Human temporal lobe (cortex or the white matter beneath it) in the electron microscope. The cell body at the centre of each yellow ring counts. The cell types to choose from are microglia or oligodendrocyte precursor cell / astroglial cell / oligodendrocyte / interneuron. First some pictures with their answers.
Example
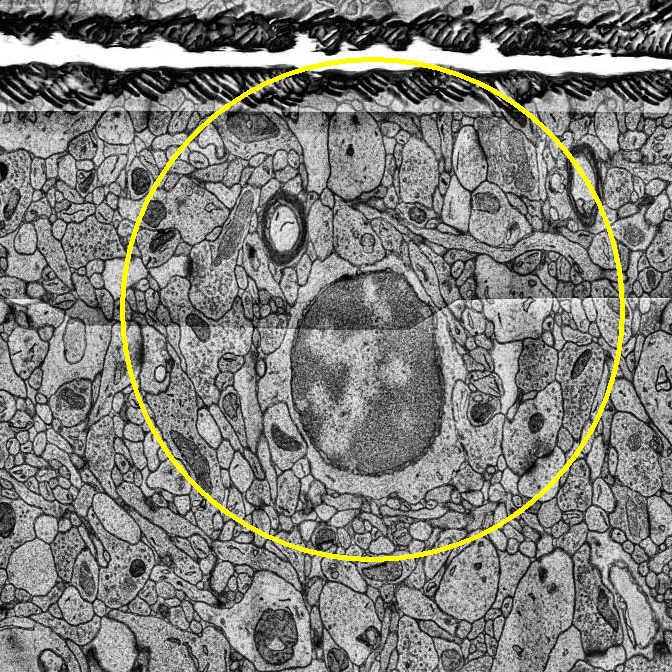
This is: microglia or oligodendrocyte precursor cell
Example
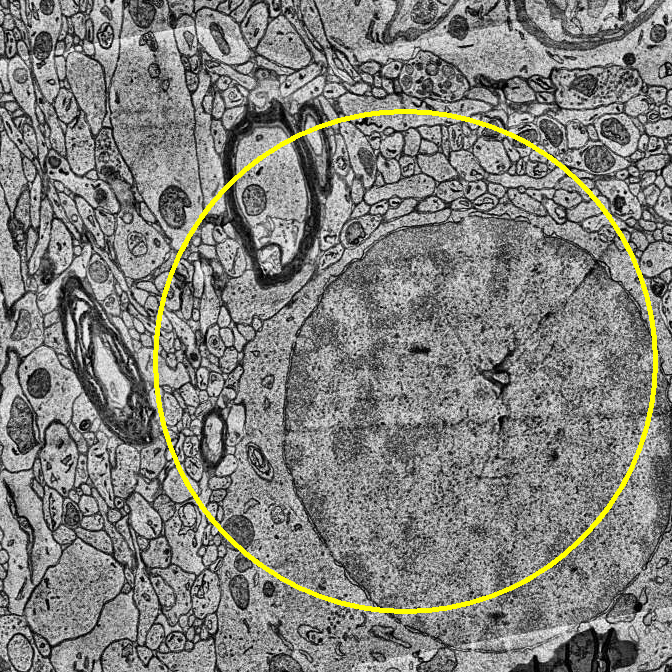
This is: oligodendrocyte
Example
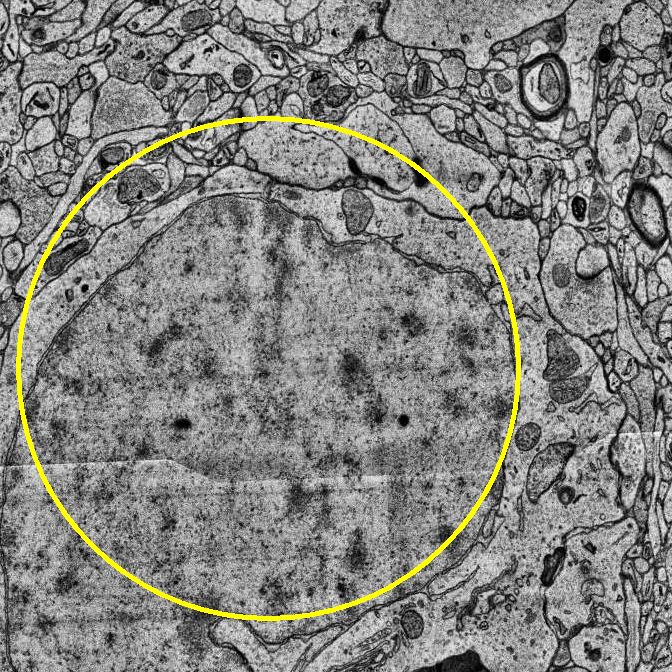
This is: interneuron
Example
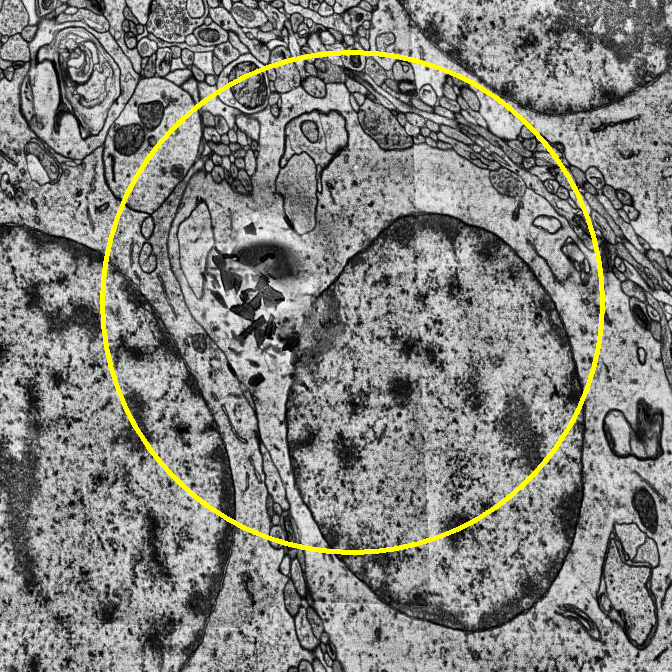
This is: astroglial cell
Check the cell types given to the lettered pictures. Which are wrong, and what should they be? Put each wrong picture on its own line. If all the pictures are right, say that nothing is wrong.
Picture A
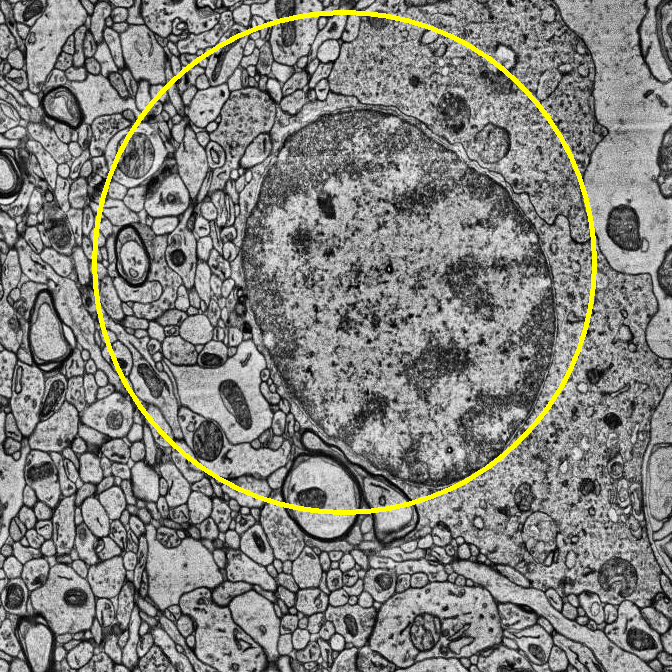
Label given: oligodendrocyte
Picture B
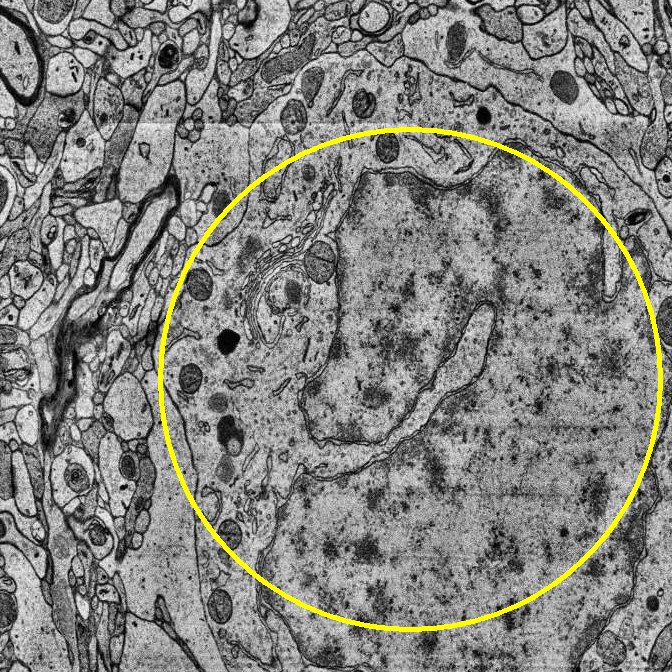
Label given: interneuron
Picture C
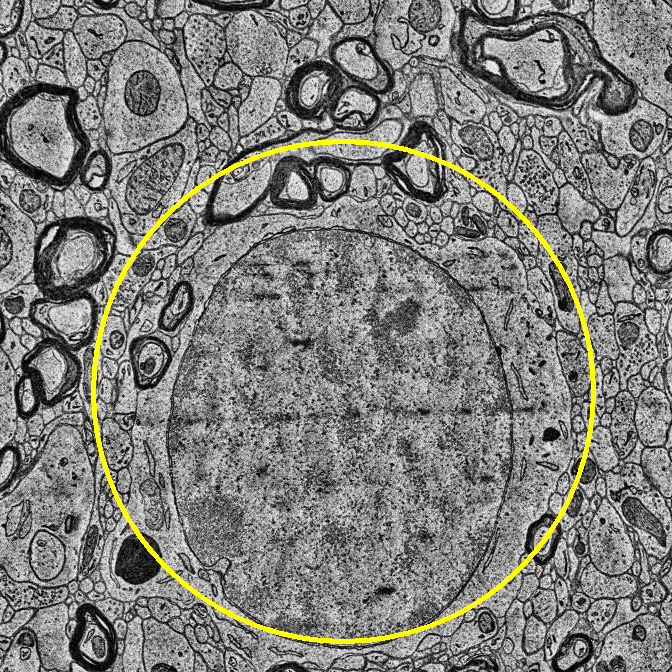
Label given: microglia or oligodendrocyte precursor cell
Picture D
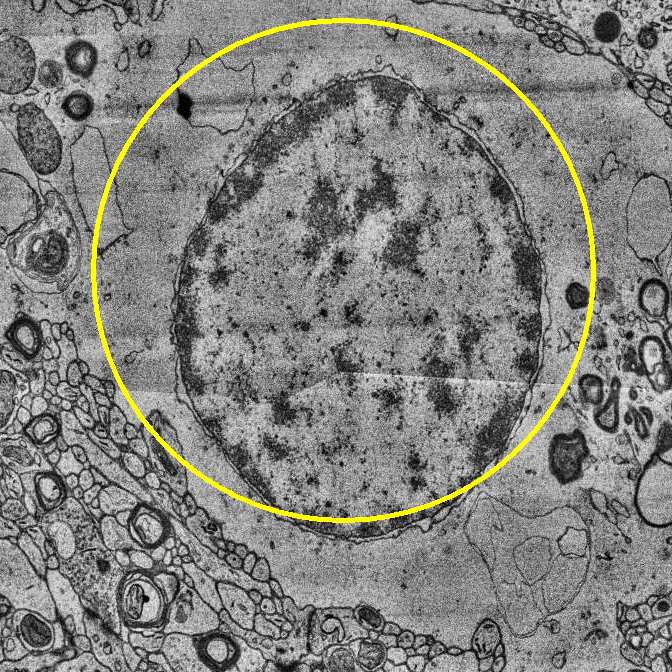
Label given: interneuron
Wrong: D (interneuron); correct: astroglial cell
